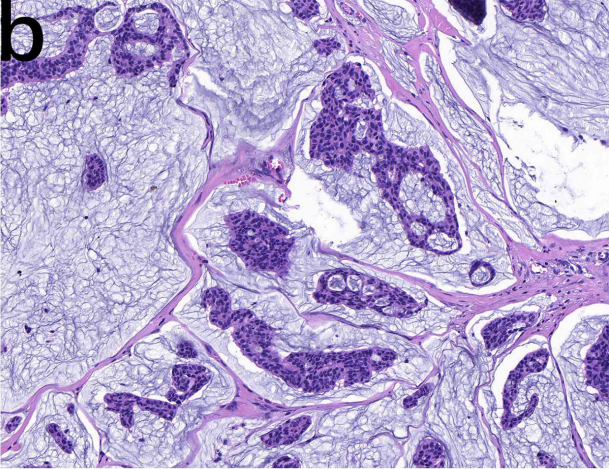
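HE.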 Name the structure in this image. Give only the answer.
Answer: Pale blue mucinous lakes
